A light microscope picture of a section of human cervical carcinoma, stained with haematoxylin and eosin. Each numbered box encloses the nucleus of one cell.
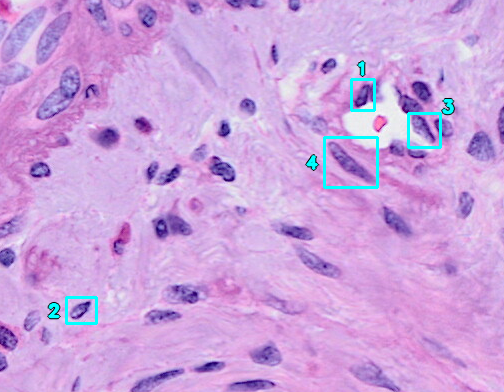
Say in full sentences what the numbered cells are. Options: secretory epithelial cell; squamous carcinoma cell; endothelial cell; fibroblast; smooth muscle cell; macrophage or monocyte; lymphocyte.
Cell 1 is an endothelial cell, cell 2 is a fibroblast, cell 3 is an endothelial cell and cell 4 is a smooth muscle cell.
